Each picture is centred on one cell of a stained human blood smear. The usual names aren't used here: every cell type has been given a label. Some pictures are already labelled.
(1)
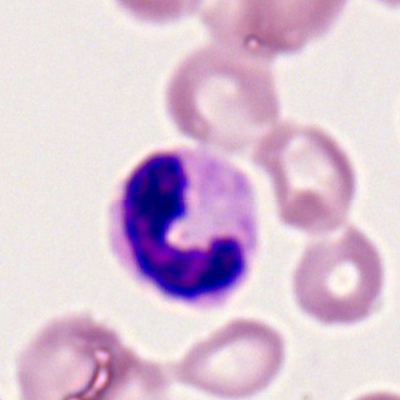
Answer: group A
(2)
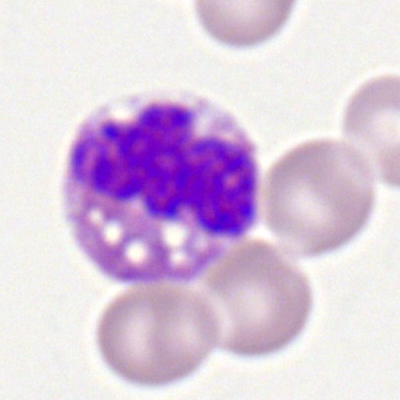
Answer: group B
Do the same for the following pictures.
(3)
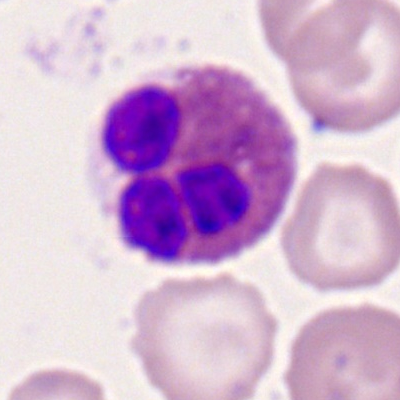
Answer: group B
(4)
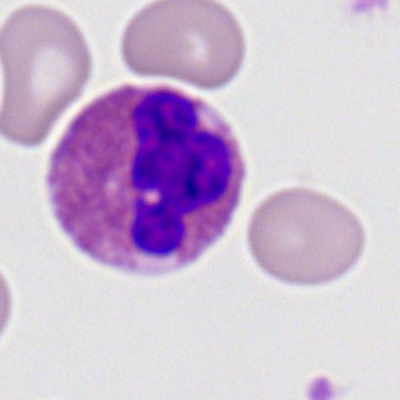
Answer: group B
